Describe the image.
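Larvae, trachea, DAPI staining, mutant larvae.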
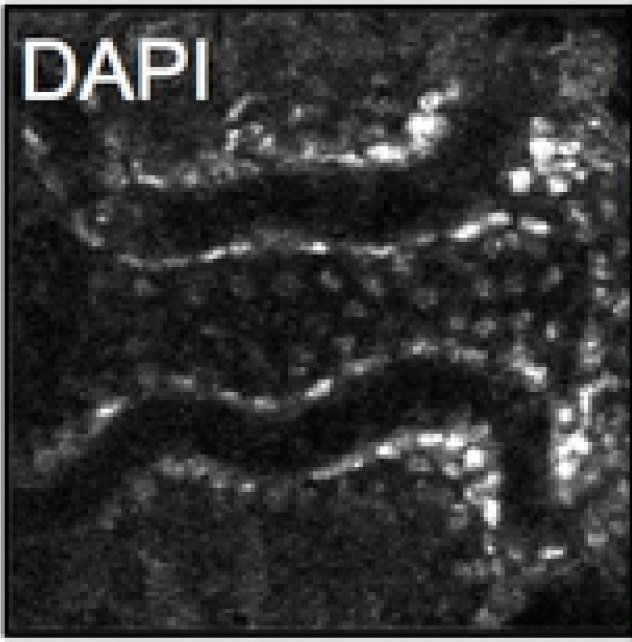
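Bright, small round spots, the size of nuclei, sit in rows along the margins of two wavy dark tube lumens that run across the field, and more bright spots are clustered in the tissue between and at the edges. The tubes themselves appear as dark, unlabelled channels bordered by these labelled cells.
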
